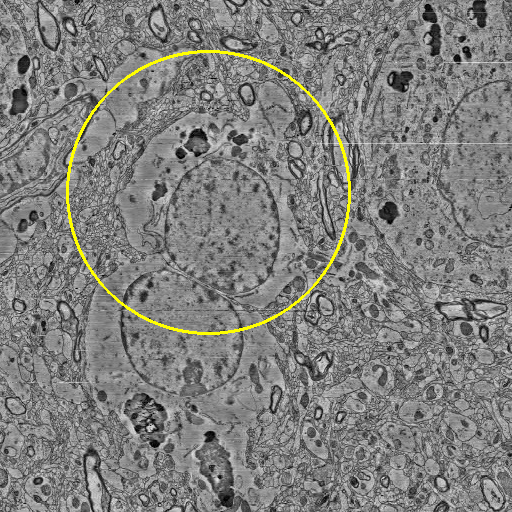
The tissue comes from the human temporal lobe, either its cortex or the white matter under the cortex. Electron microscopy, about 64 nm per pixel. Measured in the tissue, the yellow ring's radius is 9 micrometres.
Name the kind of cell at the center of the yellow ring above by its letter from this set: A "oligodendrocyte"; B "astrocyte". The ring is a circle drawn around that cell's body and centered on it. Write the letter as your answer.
B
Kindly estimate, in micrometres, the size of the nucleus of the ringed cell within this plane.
The nucleus of the ringed cell is approximately 9 by 8 micrometres in this plane.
